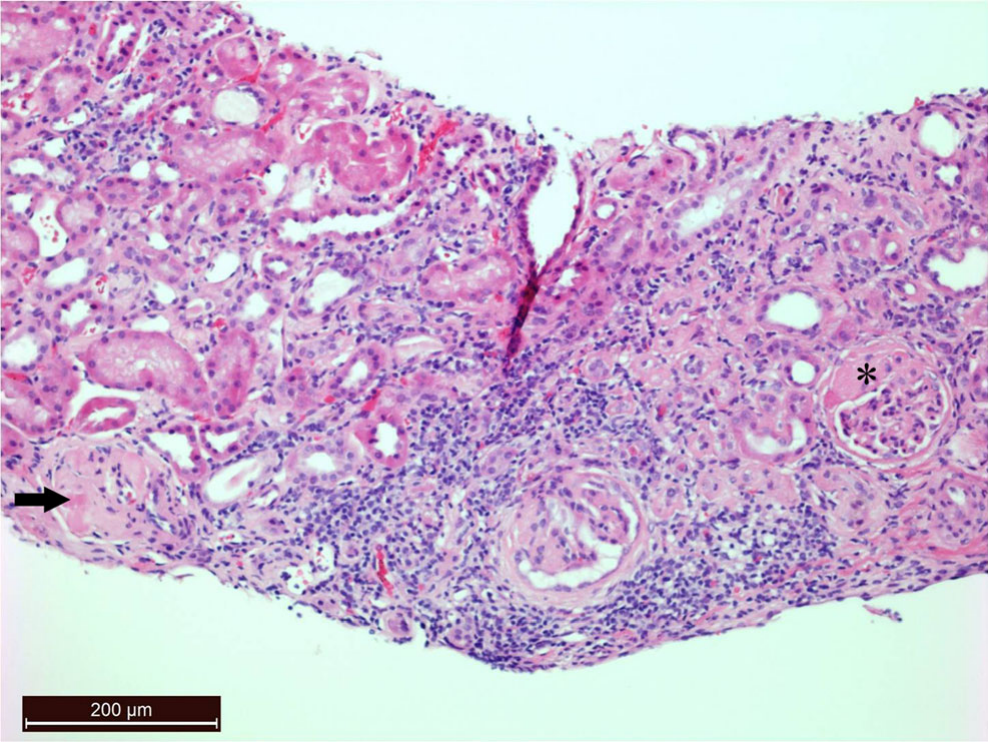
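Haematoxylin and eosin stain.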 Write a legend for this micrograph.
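Renal cortex with glomeruli in several states of scarring, set among tubules and an inflamed interstitium. At the left edge one glomerulus is replaced by pale pink, almost acellular material. At the right, a glomerulus keeps part of its capillary tuft, while the rest of the tuft looks solid and pink. In the lower centre, a glomerulus is ringed by concentric layers of pink fibrous tissue, and dense clusters of small dark round nuclei fill the interstitium around it and between the tubules, some of which are small with thickened walls.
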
